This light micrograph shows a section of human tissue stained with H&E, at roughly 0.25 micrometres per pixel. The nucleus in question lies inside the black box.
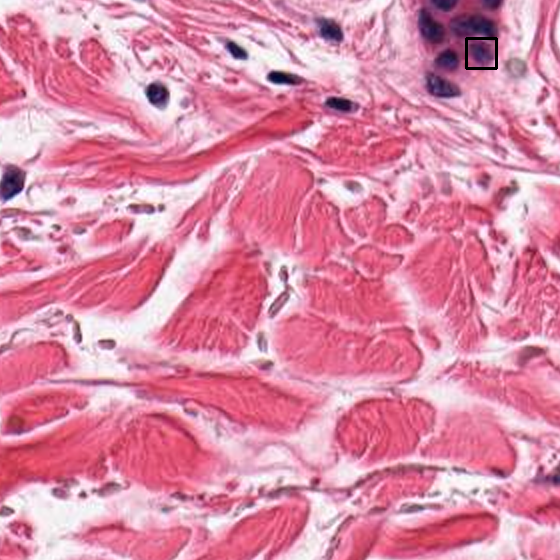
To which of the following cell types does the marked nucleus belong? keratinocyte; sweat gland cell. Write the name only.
sweat gland cell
